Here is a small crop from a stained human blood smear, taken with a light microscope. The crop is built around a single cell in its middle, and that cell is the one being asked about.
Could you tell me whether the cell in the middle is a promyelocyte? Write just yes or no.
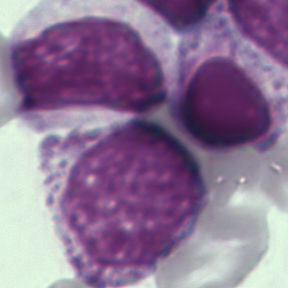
no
